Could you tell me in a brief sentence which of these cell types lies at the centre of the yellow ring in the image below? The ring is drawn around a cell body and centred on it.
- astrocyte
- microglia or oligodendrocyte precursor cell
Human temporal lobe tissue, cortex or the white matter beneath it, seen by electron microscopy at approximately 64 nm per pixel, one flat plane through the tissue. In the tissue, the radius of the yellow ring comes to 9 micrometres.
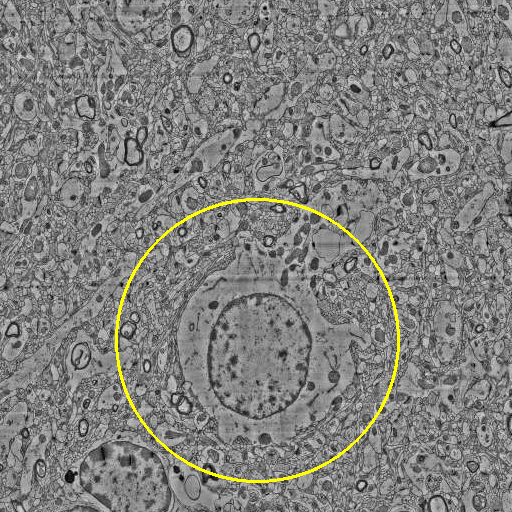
The cell centred in the ring is an astrocyte.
